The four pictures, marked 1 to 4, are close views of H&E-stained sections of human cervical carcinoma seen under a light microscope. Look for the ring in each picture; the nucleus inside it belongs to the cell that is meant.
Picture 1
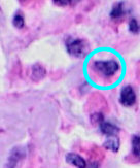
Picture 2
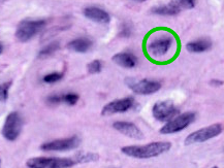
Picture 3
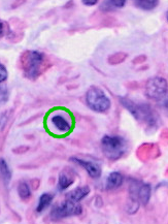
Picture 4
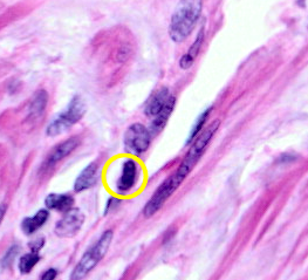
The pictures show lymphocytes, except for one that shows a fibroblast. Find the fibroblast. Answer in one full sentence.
The cell in picture 2 is the fibroblast.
